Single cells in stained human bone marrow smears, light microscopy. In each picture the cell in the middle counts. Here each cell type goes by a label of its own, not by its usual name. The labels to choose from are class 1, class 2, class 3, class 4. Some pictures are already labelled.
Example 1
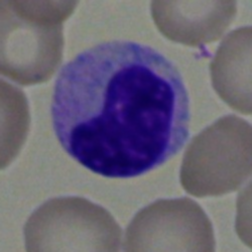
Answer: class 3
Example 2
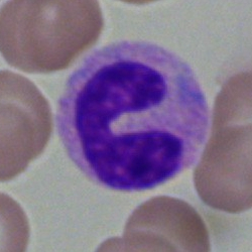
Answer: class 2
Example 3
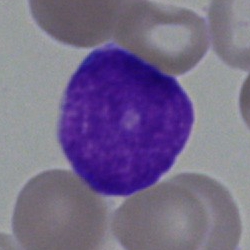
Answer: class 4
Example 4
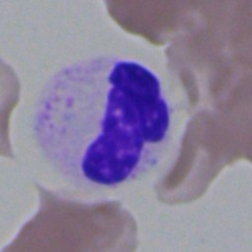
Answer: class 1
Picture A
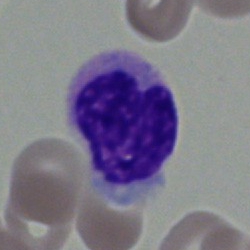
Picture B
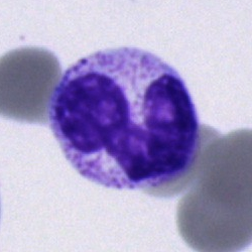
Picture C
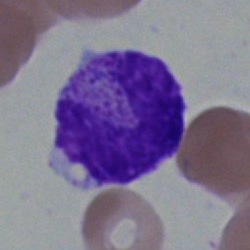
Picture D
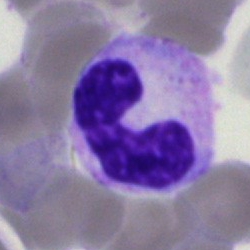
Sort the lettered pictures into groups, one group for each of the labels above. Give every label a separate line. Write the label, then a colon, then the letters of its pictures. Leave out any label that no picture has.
class 2: A, B, D
class 3: C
